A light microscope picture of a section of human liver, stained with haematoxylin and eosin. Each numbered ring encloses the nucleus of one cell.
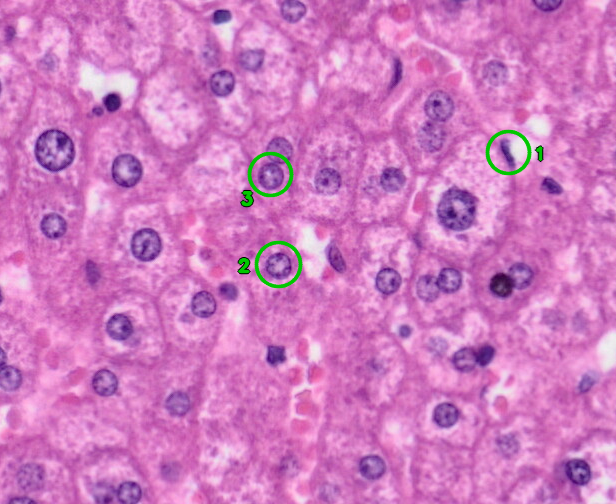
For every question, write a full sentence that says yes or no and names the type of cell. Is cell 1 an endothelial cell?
Yes, cell number 1 is classified as an endothelial cell.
